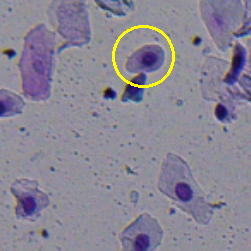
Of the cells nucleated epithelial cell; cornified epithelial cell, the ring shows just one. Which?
The ring shows a nucleated epithelial cell.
